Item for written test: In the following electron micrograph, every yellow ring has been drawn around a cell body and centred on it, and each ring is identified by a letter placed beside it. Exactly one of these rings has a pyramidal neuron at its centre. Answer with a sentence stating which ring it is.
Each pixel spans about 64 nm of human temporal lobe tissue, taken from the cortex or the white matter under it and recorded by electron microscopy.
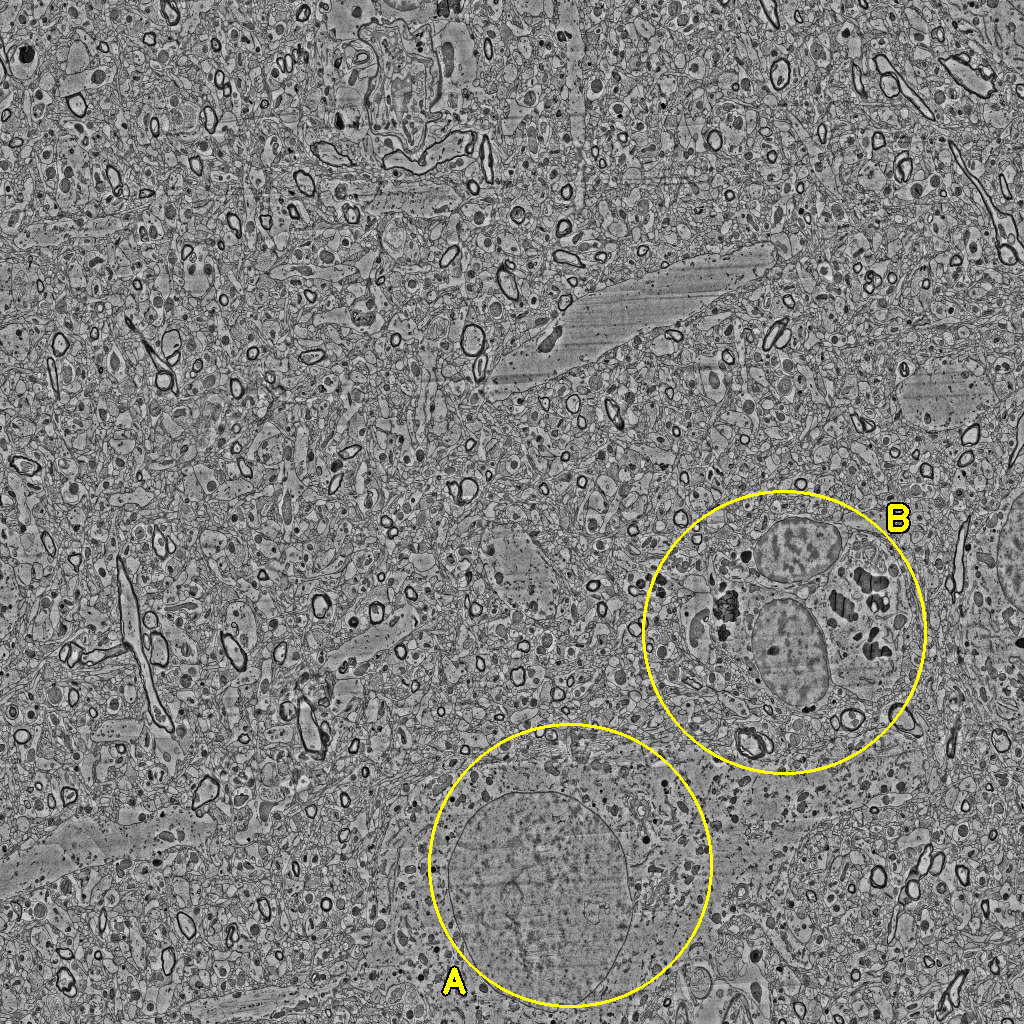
It is ring A.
